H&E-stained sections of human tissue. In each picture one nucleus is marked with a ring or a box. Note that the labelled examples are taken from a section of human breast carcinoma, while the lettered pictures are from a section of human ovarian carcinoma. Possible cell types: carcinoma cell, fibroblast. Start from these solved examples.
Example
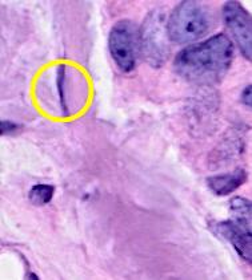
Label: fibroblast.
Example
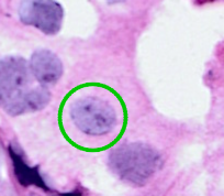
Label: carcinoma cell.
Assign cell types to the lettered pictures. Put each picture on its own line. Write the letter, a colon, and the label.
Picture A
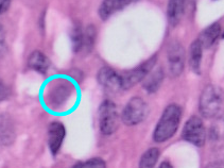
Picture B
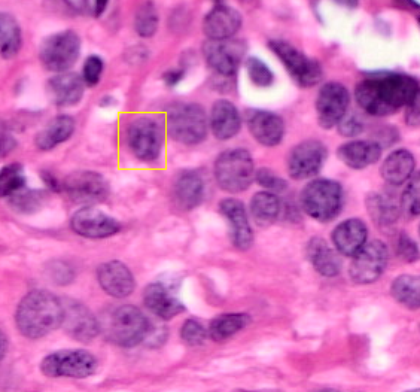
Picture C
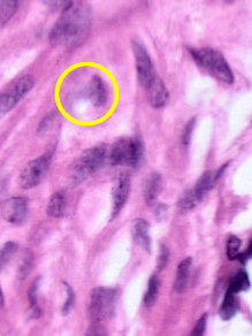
A: carcinoma cell.
B: carcinoma cell.
C: fibroblast.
